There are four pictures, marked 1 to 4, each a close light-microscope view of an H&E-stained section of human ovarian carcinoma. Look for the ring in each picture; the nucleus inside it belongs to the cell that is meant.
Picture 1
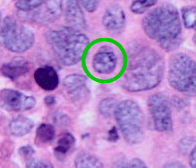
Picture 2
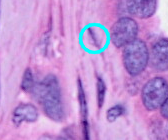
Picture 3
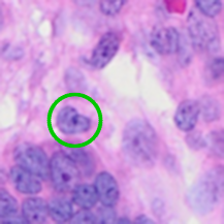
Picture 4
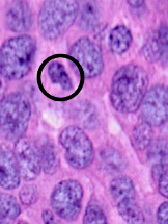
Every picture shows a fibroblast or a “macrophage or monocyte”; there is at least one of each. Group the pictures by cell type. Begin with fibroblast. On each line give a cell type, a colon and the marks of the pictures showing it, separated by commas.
fibroblast: 2
macrophage or monocyte: 1, 3, 4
